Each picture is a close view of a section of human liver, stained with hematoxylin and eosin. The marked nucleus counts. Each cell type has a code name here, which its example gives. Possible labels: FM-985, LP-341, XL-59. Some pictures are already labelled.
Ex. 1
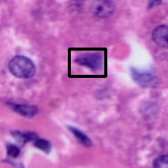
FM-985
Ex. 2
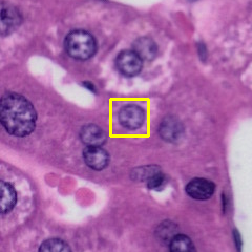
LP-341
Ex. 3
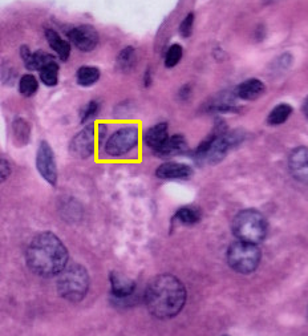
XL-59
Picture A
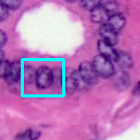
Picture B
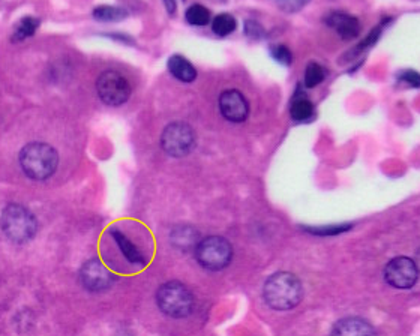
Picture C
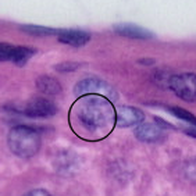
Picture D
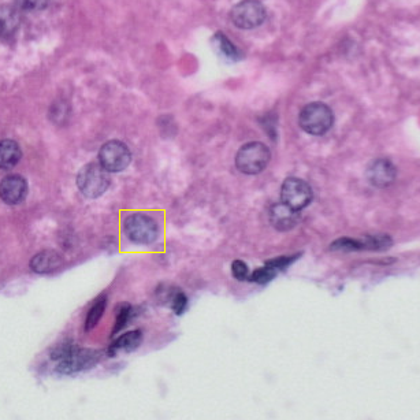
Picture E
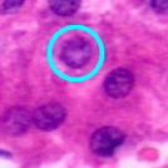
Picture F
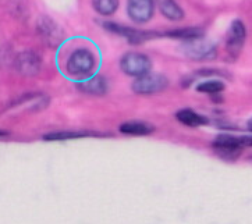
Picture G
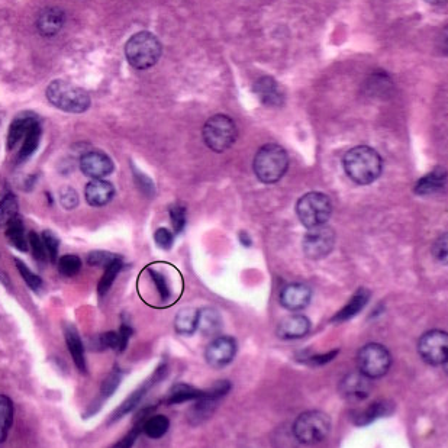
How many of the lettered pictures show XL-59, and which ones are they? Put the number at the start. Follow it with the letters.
Count: 4 (A, C, D, F)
